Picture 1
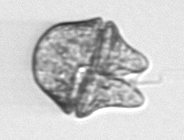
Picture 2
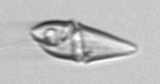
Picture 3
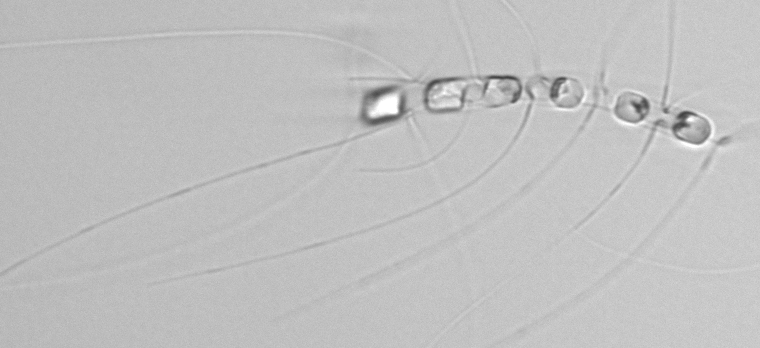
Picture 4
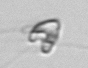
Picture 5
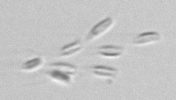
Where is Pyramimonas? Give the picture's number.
4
